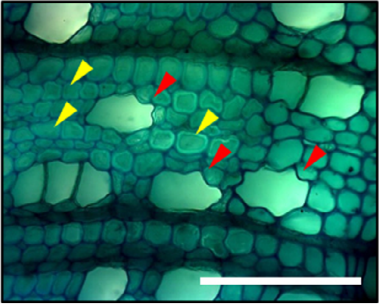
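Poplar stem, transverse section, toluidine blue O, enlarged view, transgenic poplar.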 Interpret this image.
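This is wood (secondary xylem) of a stem seen in cross section, with large pale vessels scattered among smaller, tightly packed fiber cells and narrow radial rows of ray cells. Several vessels have angular, misshapen outlines, as if squeezed by their neighbours. Some of the small fibers show a distinct pale inner layer lining the wall, separated from the outer wall, a look typical of gelatinous fibers. The rays run across the field as rows of flattened, roughly rectangular cells.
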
